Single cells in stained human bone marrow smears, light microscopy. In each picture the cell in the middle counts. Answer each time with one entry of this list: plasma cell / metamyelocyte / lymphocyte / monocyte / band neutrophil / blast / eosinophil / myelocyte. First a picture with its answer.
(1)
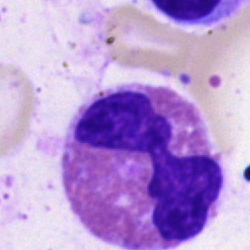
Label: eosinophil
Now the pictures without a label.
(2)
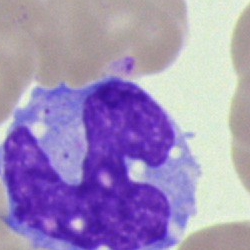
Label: monocyte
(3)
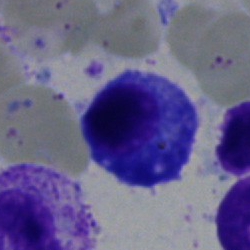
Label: plasma cell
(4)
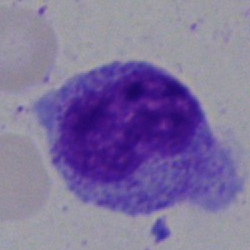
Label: metamyelocyte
